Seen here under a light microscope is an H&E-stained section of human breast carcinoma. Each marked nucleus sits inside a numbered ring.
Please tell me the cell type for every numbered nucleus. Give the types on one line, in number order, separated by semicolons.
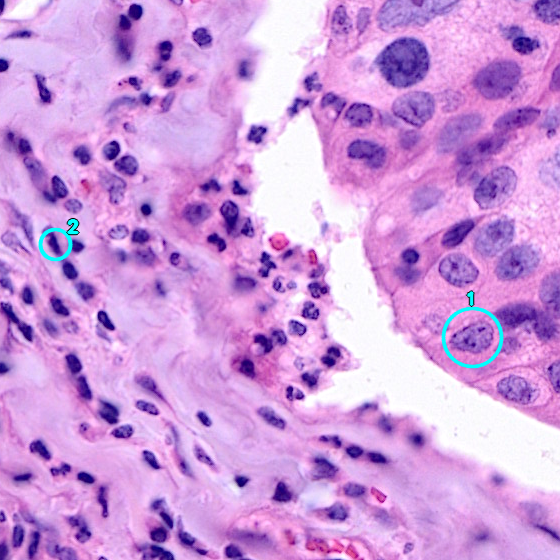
carcinoma cell; lymphocyte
